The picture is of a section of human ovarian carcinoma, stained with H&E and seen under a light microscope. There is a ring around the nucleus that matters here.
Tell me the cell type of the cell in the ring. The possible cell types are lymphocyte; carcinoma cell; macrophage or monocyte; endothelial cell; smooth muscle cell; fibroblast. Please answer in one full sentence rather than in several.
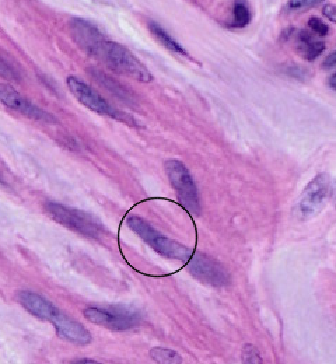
By cell type, the cell in the ring is a smooth muscle cell.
